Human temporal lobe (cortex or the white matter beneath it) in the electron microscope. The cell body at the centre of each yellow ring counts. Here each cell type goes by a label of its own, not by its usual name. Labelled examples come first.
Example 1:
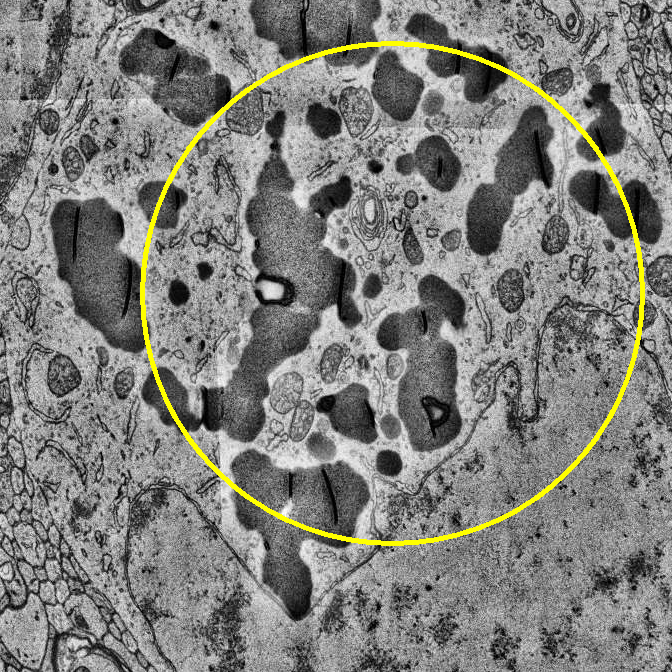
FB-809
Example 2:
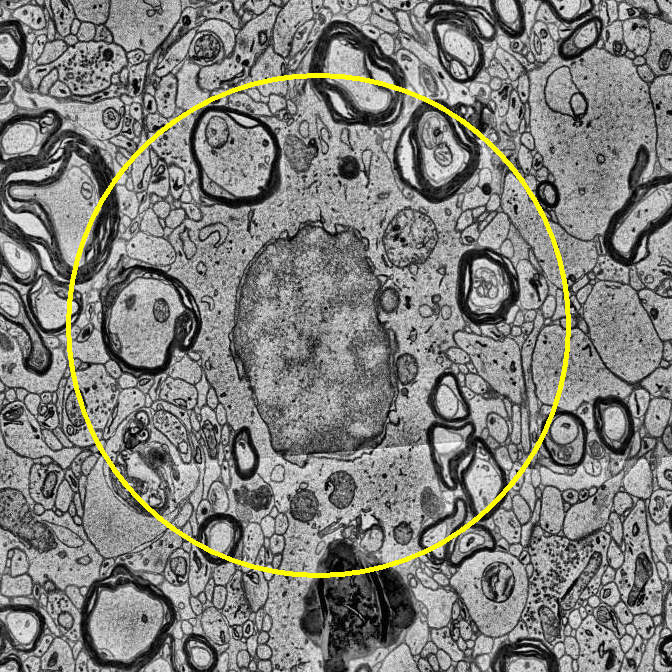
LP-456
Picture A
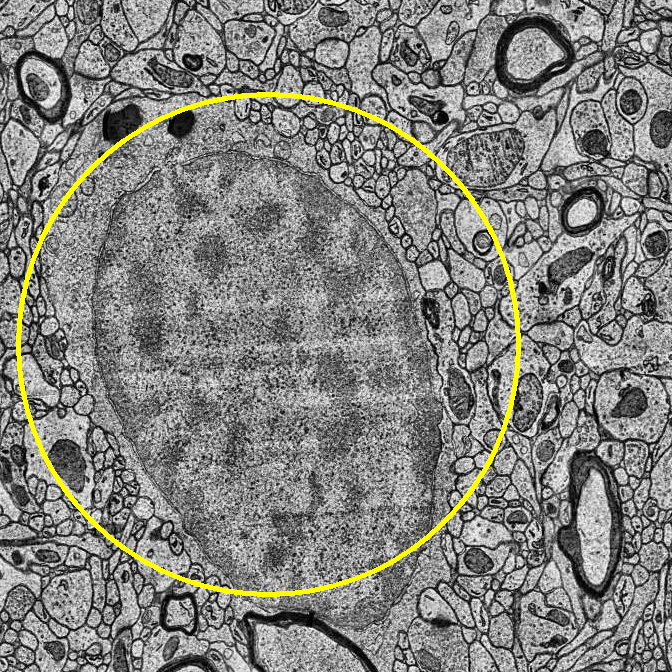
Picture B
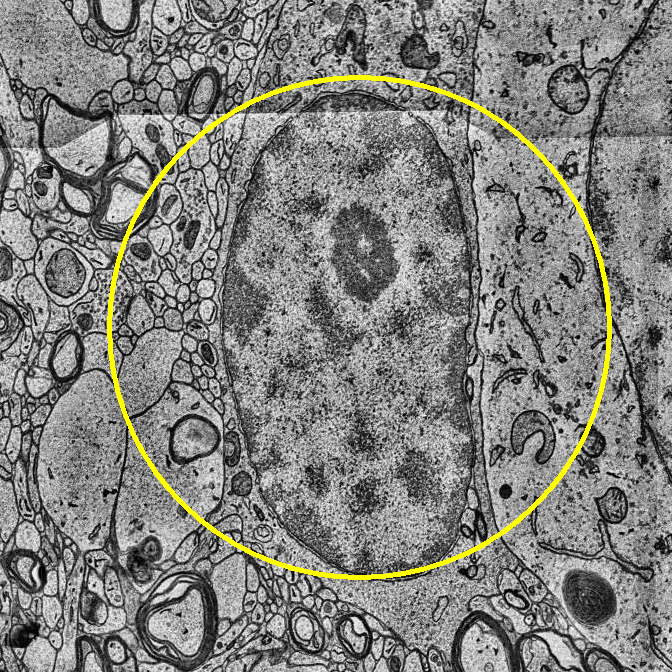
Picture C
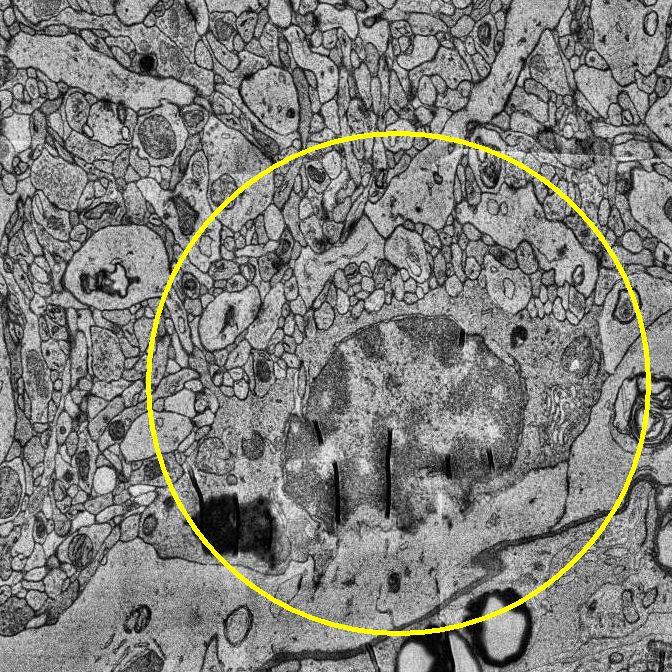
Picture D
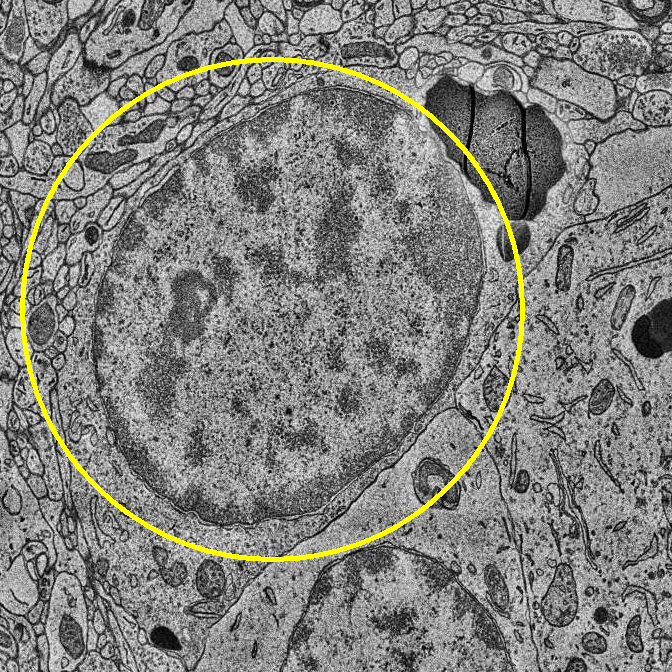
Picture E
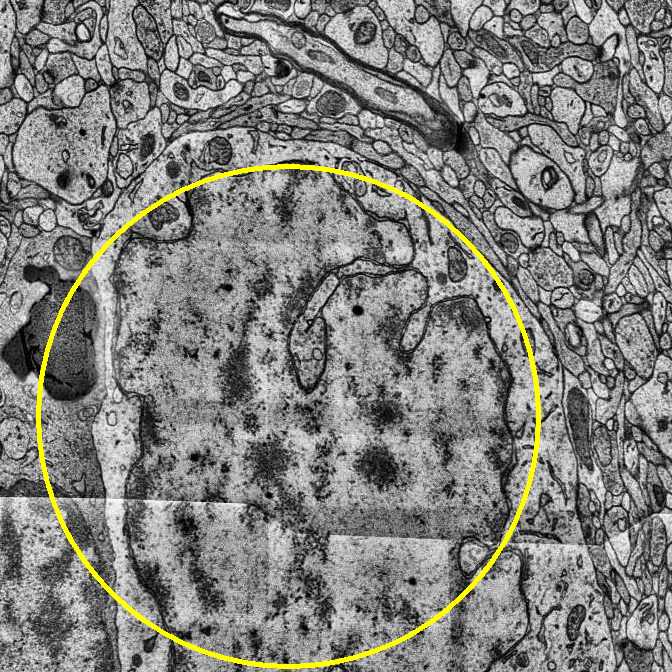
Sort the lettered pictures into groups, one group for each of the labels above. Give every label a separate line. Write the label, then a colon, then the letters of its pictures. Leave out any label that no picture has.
FB-809: E
LP-456: A, B, C, D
